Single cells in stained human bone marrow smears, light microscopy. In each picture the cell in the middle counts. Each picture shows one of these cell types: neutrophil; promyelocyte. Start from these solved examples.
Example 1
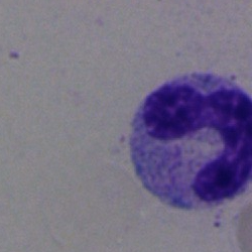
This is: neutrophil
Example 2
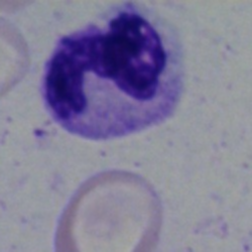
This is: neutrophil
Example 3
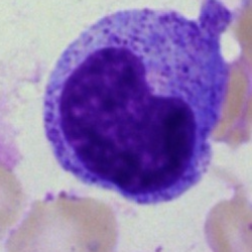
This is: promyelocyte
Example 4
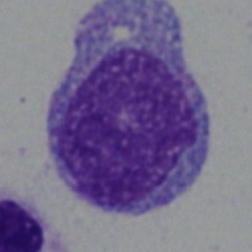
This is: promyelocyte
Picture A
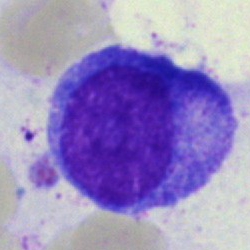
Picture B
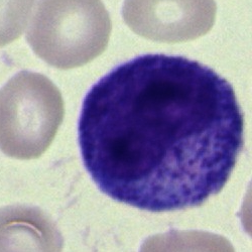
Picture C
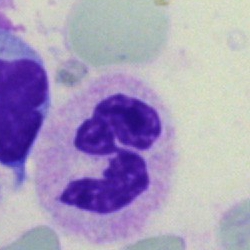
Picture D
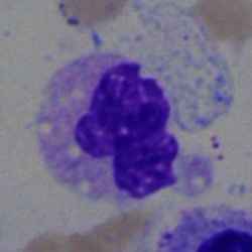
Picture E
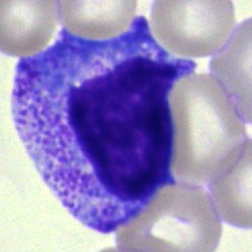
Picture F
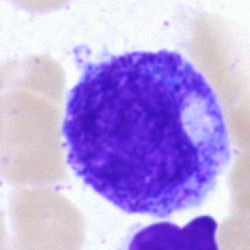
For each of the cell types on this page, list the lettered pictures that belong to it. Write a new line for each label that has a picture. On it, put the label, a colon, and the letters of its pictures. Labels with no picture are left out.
neutrophil: C, D
promyelocyte: A, B, E, F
